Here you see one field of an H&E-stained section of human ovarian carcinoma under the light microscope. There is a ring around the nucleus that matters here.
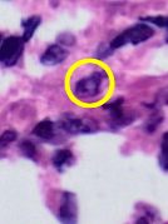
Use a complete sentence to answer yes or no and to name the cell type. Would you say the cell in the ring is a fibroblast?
No, for the cell in the ring the correct label is a macrophage or monocyte and not a fibroblast.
